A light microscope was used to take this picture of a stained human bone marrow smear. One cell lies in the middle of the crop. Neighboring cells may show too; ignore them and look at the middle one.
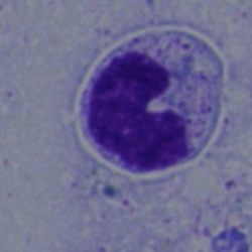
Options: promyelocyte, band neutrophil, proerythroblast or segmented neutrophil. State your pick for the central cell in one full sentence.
The cell of interest, located centrally, is a band neutrophil.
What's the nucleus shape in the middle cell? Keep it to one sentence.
What stands out is a nucleus forming one compact round, oval or kidney-shaped mass.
